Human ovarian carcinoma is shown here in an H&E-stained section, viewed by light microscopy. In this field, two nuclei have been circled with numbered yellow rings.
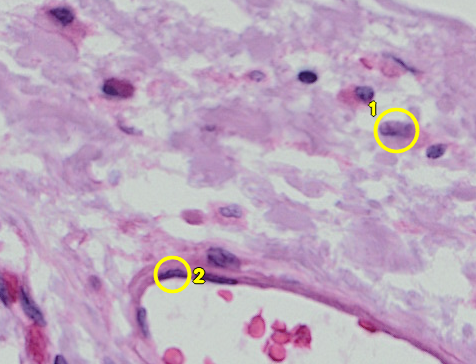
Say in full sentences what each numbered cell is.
Cell 1 is a fibroblast. Cell 2 is an endothelial cell.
